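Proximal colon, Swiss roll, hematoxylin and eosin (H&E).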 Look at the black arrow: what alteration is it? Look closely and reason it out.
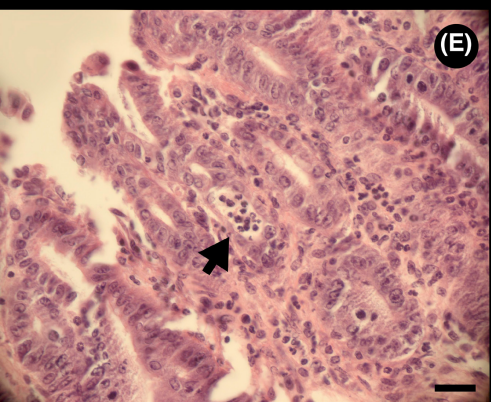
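The arrow points at a cluster of small cells with dark, lobed nuclei collected inside a crypt lumen. The surrounding crypts are lined by tall columnar epithelium. On this evidence: Crypt abscess.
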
